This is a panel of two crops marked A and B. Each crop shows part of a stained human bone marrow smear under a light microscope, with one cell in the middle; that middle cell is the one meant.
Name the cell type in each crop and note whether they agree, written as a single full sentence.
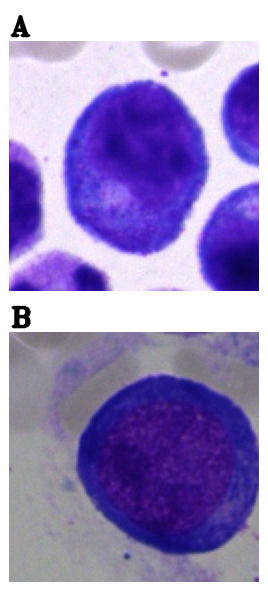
No, the cells are a promyelocyte in crop A and a proerythroblast in crop B.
